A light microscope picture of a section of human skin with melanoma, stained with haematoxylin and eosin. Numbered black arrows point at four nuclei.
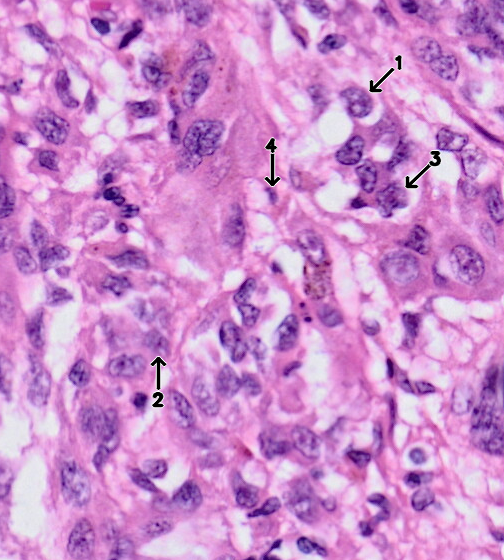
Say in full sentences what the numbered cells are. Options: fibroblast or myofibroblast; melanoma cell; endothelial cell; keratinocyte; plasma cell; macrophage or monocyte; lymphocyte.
Cells 1, 2 and 3 are melanoma cells. Cell 4 is a macrophage or monocyte.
